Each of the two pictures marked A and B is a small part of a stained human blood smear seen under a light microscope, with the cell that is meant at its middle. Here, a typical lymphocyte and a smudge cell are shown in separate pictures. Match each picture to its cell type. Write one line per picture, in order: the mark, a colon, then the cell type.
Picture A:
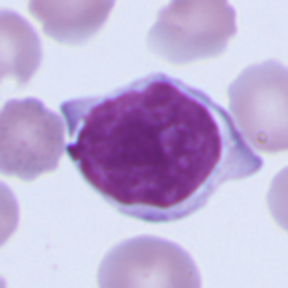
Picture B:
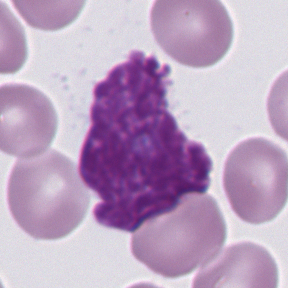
A: typical lymphocyte
B: smudge cell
